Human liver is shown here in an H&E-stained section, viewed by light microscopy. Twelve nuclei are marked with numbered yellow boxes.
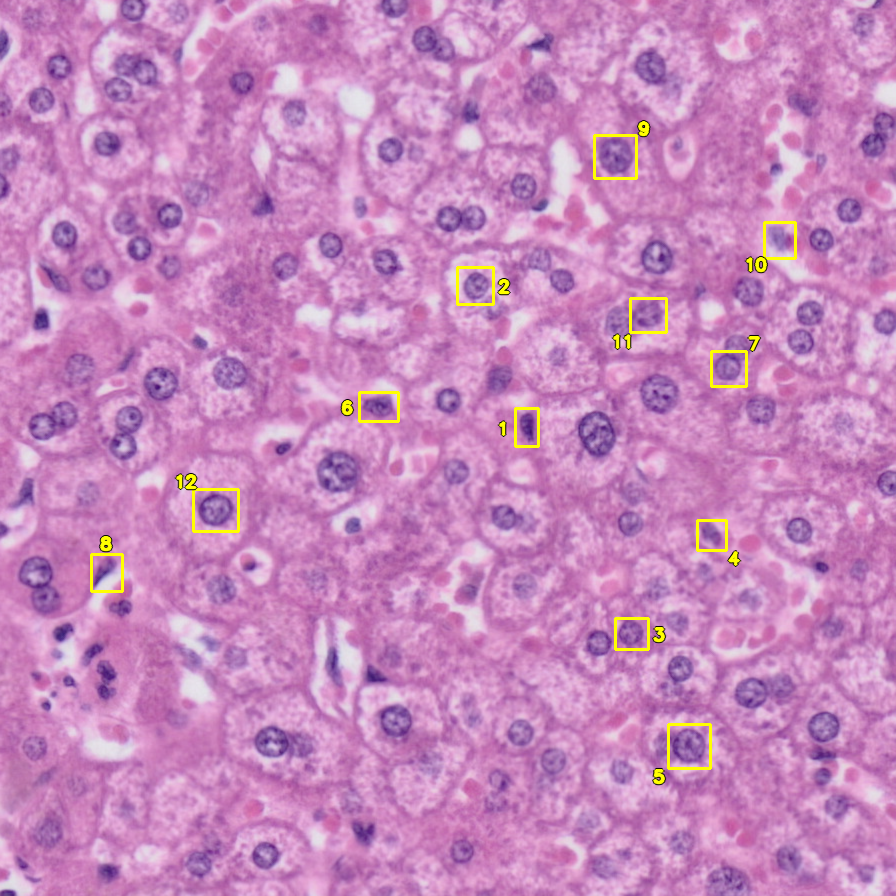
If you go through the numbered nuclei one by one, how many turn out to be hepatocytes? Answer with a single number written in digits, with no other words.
7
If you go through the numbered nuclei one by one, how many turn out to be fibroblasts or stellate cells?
1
